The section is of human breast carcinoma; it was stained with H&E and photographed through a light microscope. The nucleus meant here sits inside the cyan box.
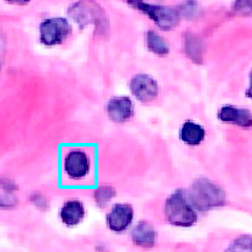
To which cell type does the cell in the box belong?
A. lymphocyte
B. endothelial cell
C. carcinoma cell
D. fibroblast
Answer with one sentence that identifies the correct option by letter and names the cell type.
Here the correct option is A, since the cell in the box is a lymphocyte.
